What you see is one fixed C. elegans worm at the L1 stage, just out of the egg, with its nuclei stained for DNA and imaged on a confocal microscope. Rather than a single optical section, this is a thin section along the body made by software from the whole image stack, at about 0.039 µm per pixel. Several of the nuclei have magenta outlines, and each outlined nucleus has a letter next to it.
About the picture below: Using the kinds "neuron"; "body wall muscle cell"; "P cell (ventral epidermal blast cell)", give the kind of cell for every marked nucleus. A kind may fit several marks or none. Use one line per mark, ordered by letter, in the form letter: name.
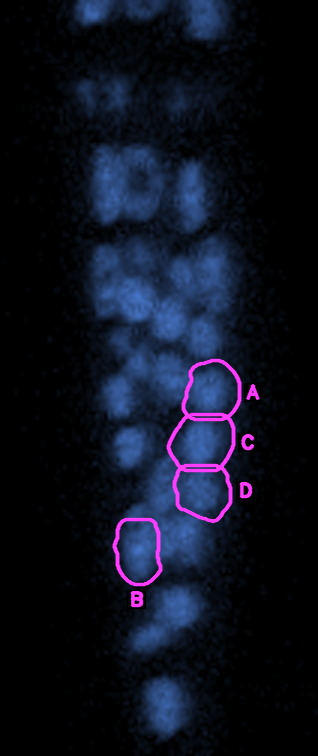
A: neuron
B: body wall muscle cell
C: neuron
D: neuron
